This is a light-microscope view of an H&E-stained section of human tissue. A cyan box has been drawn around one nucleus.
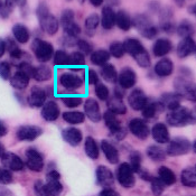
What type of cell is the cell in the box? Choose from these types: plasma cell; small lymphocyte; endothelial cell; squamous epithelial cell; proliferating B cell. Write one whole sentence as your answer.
The identity of the cell in the box: it is a small lymphocyte.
